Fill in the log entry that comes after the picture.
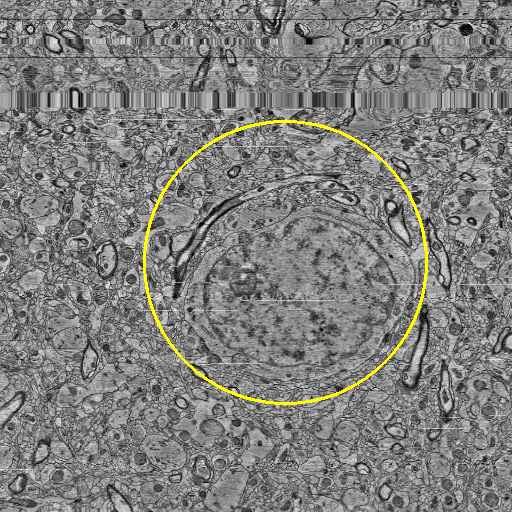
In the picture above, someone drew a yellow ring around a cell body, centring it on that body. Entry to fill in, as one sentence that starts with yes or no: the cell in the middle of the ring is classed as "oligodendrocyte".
No, the cell in the ring's centre in this image is of a different kind.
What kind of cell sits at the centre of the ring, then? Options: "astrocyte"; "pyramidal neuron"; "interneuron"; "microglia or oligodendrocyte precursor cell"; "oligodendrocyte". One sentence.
Instead, what sits at the centre of the ring is an interneuron.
